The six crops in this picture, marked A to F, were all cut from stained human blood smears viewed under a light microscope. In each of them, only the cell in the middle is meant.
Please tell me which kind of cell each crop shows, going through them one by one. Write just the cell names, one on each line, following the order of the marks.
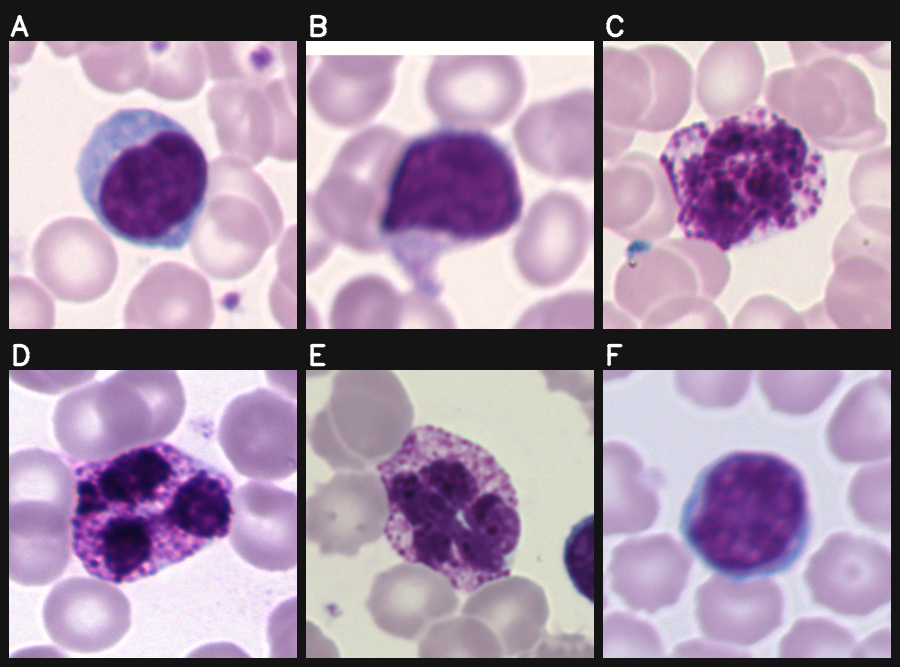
typical lymphocyte
typical lymphocyte
basophil
basophil
basophil
typical lymphocyte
